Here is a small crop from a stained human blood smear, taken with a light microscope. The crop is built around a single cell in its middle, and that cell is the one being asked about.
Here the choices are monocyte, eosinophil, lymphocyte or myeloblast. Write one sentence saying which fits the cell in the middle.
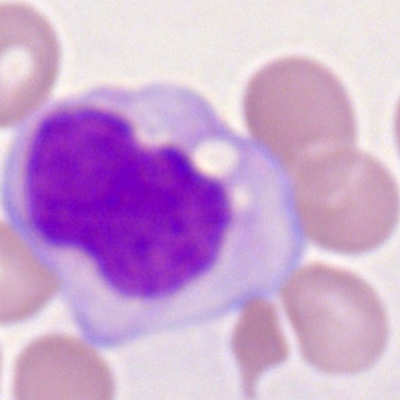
This crop's central cell is a monocyte.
